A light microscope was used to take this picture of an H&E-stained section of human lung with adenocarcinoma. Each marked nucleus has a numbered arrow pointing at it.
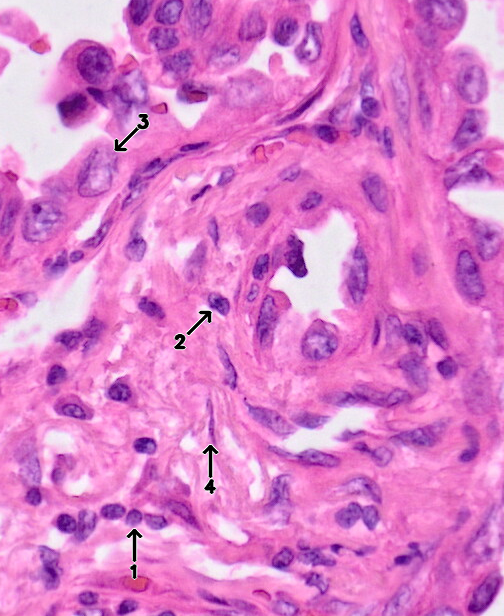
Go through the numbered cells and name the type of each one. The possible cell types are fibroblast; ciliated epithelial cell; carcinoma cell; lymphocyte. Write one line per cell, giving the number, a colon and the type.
1: lymphocyte
2: lymphocyte
3: carcinoma cell
4: fibroblast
